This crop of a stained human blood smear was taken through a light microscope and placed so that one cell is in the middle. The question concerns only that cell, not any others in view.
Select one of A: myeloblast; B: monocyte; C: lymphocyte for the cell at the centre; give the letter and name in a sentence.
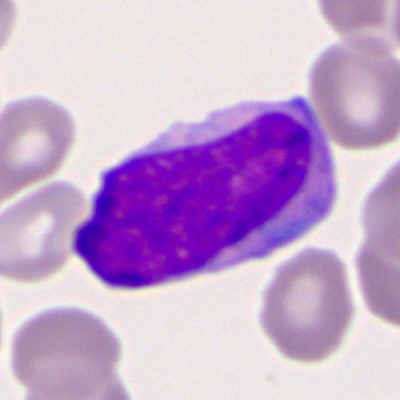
It is a myeloblast that occupies the centre of the crop, so option A is correct.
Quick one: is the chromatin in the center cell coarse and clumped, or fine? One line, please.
Just so you know, its chromatin is coarsely clumped.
